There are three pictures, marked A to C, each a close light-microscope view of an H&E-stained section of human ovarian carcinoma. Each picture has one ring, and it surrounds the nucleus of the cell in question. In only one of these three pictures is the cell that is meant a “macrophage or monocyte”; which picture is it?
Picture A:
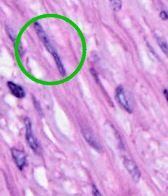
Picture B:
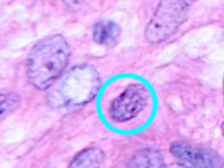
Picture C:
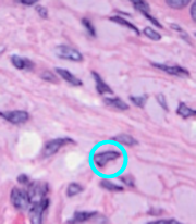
B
